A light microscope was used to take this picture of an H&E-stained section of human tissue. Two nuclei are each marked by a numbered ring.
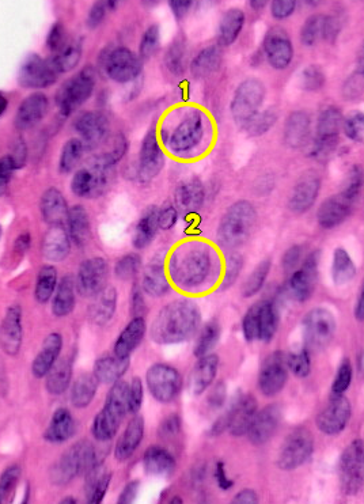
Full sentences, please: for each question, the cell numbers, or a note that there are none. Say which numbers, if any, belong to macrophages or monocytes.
No marked cell except number 1 is a macrophage or monocyte.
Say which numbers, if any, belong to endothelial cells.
None of the cells bearing numbers are endothelial cells.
